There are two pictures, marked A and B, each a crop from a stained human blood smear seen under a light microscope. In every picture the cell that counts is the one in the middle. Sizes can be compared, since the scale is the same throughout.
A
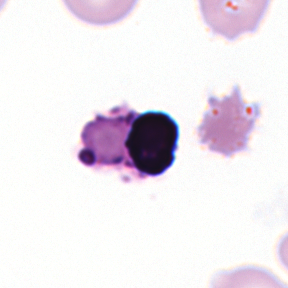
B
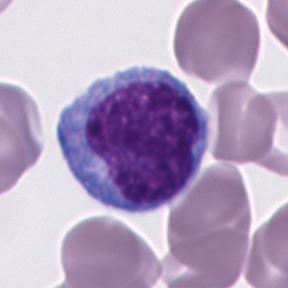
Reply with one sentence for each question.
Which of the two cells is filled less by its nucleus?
It is the cell in crop A that is filled less by its nucleus.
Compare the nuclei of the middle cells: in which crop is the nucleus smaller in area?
Crop A shows the smaller nucleus, since that in crop B covers about 4 times as much area.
